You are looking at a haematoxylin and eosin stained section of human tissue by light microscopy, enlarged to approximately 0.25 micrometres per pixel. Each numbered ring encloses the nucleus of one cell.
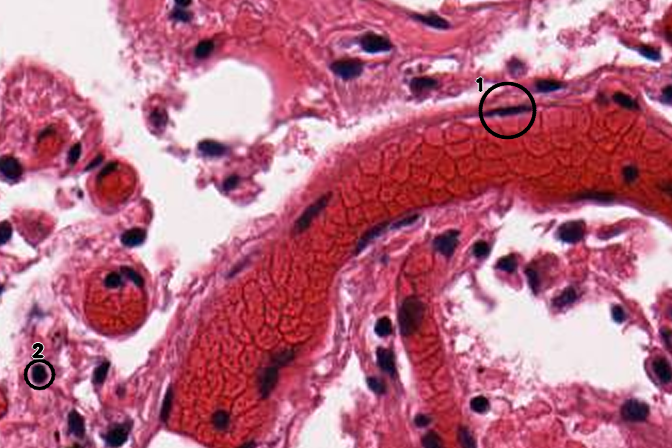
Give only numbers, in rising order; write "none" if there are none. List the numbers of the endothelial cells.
1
